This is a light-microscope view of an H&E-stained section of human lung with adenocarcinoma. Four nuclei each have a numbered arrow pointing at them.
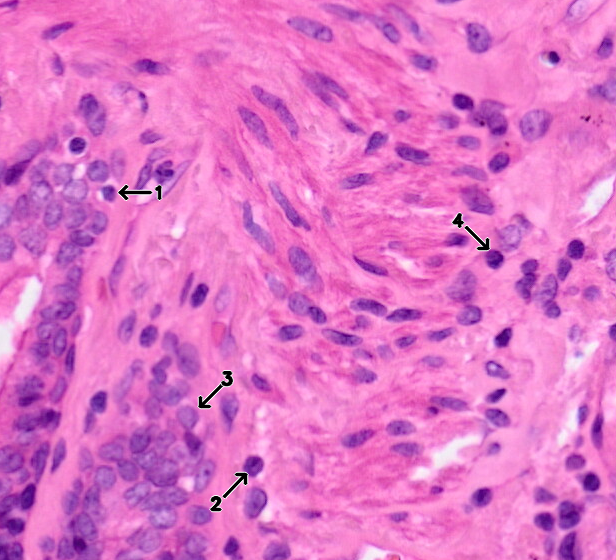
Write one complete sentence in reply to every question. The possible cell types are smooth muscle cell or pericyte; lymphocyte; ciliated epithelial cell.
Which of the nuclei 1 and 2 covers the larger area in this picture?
At about 1.5 times the area of nucleus 1, nucleus 2 is the larger of the two.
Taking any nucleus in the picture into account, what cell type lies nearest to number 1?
The nearest nucleus to number 1 belongs to a ciliated epithelial cell.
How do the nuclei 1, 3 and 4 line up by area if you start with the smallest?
By area, going up from the smallest, they rank 1, 4, 3.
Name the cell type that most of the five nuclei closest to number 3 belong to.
The majority of the five nuclei closest to number 3 belong to ciliated epithelial cells.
